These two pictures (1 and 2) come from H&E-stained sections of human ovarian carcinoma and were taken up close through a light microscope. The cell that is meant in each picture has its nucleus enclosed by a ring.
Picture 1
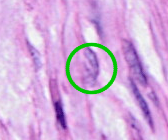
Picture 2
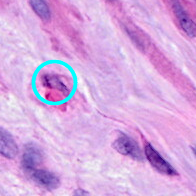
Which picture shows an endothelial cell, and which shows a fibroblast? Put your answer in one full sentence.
The cell in picture 1 is a fibroblast, and the one in picture 2 is an endothelial cell.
